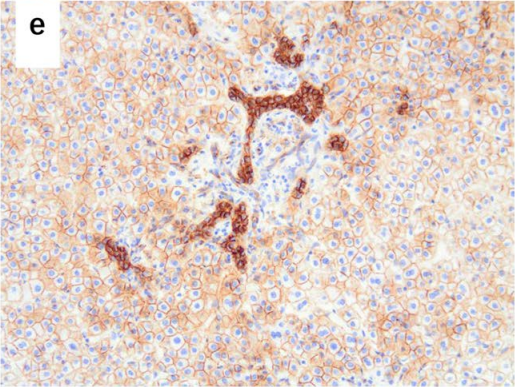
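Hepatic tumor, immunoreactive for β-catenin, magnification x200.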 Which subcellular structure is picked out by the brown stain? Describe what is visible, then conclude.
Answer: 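Thin brown lines outline each polygonal cell. So: cell membrane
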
